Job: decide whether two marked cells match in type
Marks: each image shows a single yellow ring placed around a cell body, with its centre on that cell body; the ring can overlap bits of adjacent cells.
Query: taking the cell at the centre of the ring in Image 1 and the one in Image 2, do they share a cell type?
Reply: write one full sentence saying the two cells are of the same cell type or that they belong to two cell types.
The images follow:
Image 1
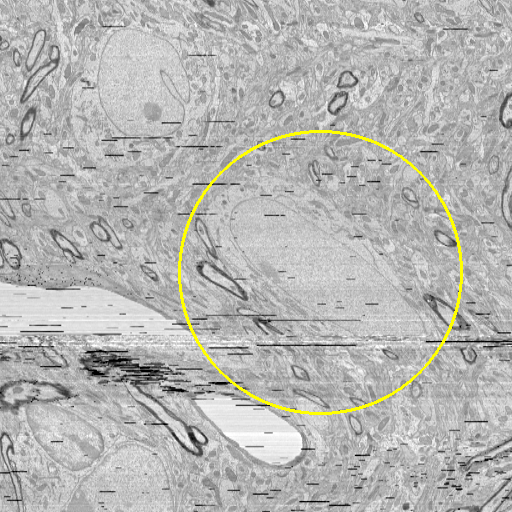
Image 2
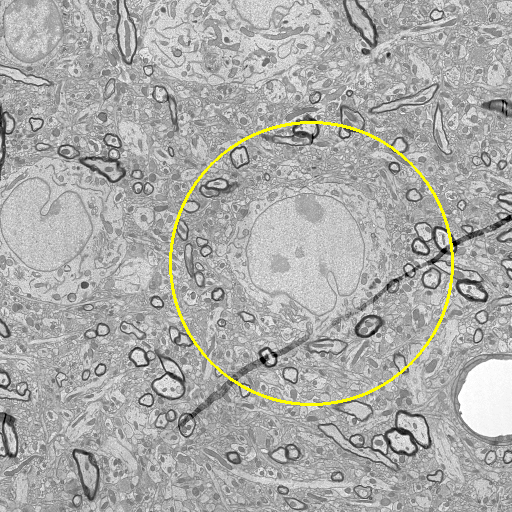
The cells at the ring centres in Image 1 and Image 2 are of the same cell type.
